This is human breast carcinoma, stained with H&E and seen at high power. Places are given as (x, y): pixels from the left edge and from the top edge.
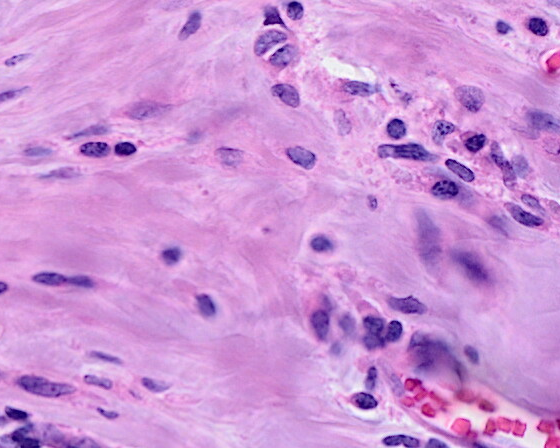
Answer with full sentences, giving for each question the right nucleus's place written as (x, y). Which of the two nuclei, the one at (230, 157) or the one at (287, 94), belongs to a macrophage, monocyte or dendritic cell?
Heads up, the nucleus at (287, 94) is the one that belongs to a macrophage, monocyte or dendritic cell.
